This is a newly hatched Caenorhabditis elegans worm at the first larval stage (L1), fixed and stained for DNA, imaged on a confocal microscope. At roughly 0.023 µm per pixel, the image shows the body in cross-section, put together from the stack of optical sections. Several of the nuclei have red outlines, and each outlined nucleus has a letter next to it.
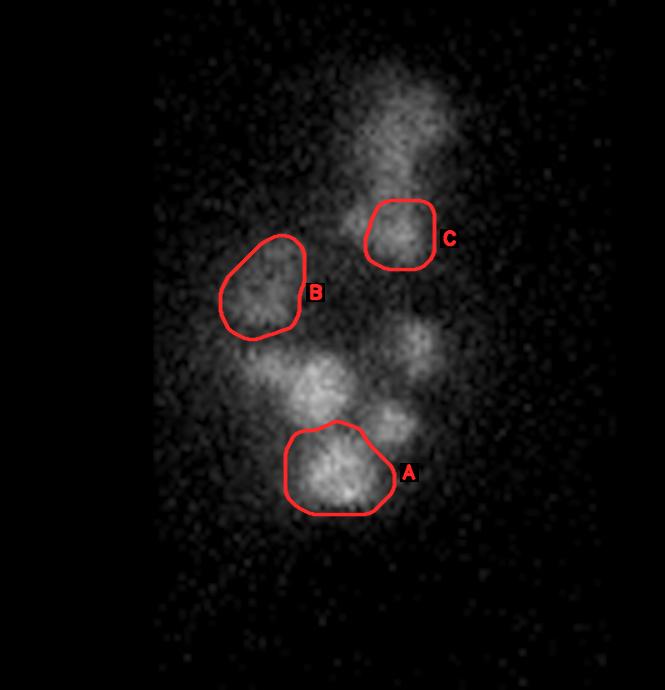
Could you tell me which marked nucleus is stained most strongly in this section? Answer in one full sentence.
Nucleus A shows the strongest staining.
